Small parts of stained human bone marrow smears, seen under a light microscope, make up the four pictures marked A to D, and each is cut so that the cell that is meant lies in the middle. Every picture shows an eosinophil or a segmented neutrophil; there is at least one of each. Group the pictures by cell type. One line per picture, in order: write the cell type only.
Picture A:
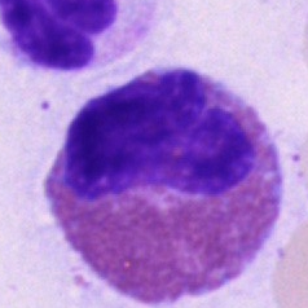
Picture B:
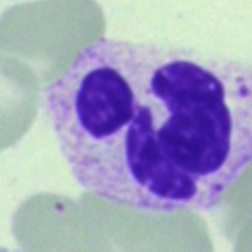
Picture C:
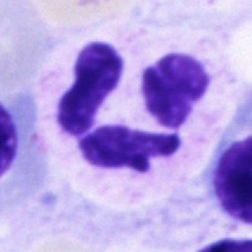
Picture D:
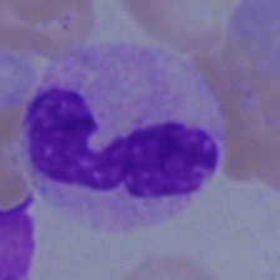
eosinophil
segmented neutrophil
segmented neutrophil
segmented neutrophil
